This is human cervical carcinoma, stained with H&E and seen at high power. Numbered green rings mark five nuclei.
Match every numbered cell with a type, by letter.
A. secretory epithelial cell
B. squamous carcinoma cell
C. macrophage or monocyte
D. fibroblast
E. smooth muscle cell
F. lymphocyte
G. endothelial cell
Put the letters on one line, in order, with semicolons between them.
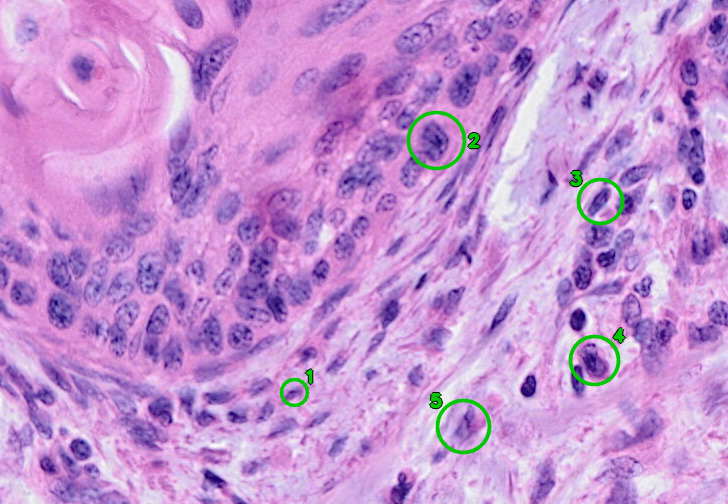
D; B; F; C; D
